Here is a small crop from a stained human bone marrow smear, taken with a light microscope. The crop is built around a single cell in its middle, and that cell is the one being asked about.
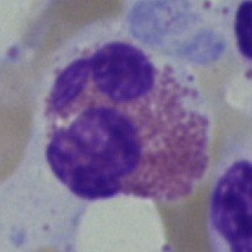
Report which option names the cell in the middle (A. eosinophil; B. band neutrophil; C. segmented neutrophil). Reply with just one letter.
A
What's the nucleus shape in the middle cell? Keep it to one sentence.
What stands out is the nucleus, split into two or more lobes.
